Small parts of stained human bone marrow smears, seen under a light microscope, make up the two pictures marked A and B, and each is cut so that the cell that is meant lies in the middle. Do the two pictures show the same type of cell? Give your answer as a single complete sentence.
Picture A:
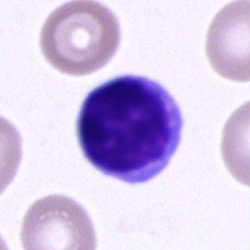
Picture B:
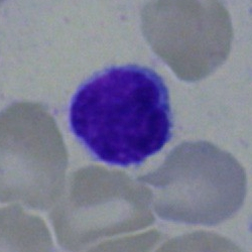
Yes, both cells are lymphocytes.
